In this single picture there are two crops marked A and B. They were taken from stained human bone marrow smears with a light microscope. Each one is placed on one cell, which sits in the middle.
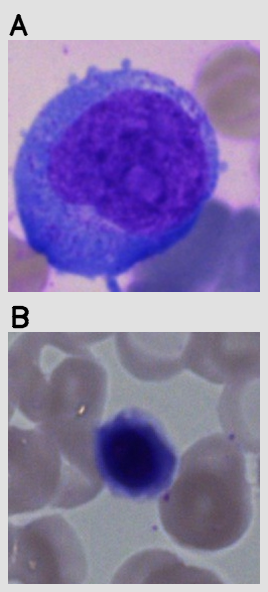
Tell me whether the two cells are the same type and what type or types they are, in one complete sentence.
No, a blast is the cell in crop A; an erythroblast is the cell in crop B.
